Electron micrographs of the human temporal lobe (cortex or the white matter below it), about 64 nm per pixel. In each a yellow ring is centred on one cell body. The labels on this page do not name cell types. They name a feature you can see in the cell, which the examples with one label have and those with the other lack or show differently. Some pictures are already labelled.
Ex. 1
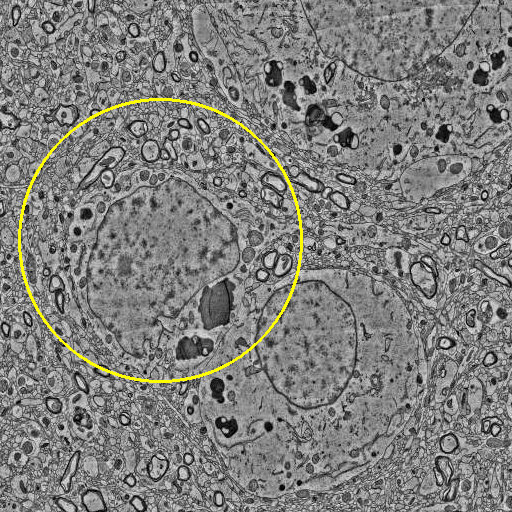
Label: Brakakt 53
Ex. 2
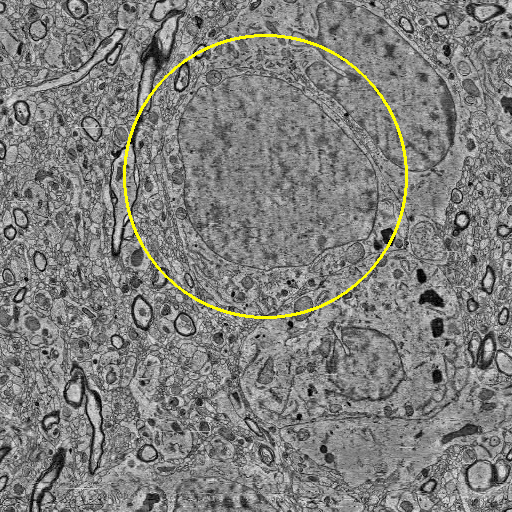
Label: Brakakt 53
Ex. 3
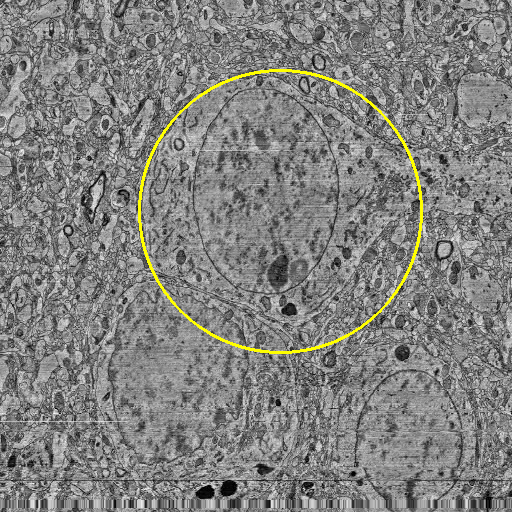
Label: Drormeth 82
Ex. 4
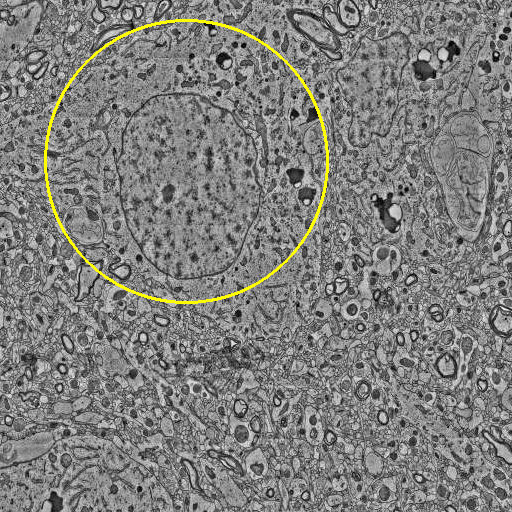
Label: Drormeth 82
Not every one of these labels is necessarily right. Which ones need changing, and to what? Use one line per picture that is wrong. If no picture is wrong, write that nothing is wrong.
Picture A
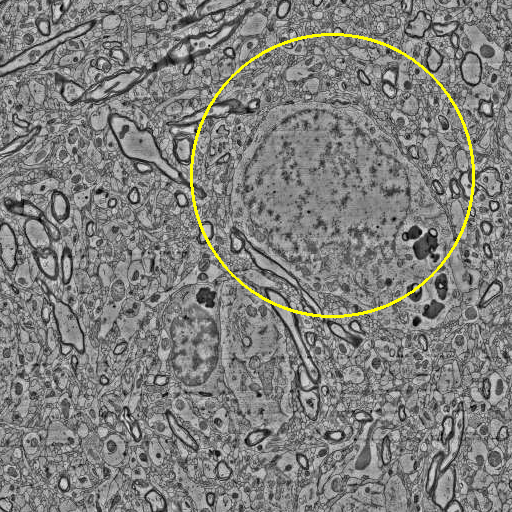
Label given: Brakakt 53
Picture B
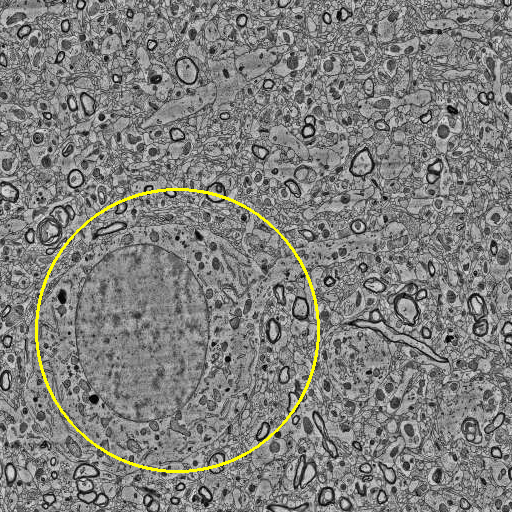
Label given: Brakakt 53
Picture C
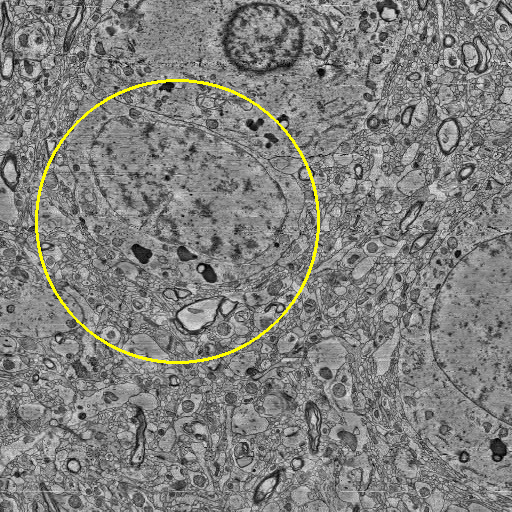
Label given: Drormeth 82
C: change Drormeth 82 to Brakakt 53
